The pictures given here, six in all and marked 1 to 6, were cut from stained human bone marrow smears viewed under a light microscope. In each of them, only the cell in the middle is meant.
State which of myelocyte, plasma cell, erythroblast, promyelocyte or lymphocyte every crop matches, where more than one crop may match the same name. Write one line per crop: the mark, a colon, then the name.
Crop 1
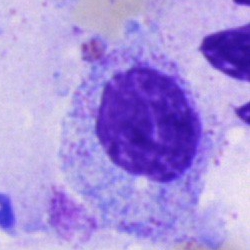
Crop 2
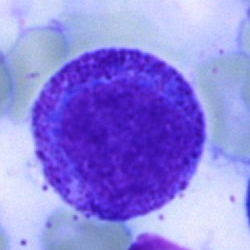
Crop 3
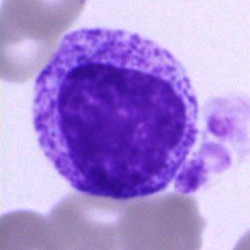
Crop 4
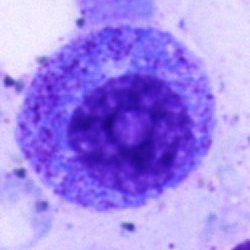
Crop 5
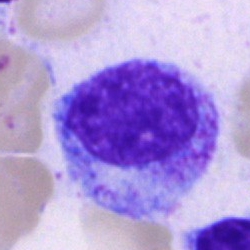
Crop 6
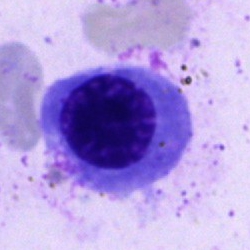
1: myelocyte
2: promyelocyte
3: myelocyte
4: promyelocyte
5: myelocyte
6: erythroblast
